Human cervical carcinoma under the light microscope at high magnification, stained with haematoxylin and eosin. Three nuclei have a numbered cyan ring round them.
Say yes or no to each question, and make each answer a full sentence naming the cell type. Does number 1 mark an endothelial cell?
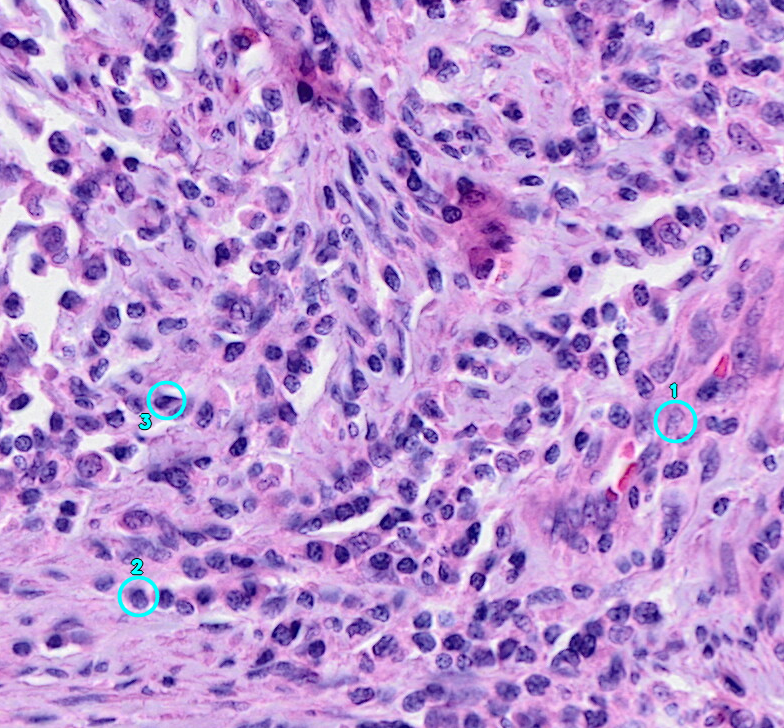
Yes, the cell at number 1 is an endothelial cell.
